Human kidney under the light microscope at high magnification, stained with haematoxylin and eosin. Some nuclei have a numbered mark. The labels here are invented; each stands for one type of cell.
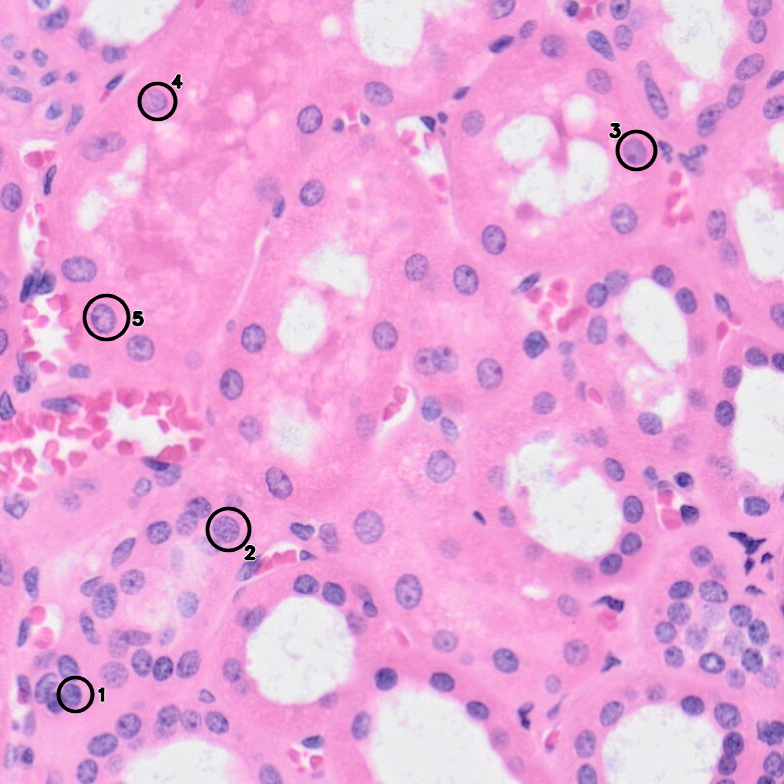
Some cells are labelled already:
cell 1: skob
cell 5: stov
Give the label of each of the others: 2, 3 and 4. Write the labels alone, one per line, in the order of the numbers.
skob
stov
stov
